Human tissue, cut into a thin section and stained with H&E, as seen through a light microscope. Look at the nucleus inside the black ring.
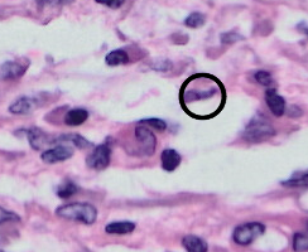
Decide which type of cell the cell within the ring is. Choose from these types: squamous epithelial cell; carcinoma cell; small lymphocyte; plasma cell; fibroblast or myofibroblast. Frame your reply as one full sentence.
In this tissue sample, the cell within the ring is a fibroblast or myofibroblast.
